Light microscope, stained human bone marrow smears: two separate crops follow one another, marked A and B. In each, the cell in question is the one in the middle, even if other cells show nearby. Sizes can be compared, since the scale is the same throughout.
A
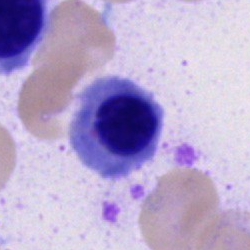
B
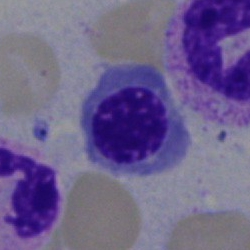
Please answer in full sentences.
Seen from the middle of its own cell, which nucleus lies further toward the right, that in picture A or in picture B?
In picture A the nucleus is shifted more toward the right.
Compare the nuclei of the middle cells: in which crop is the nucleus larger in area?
Picture B shows the larger nucleus; it covers about 1.5 times the area of the nucleus in picture A.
